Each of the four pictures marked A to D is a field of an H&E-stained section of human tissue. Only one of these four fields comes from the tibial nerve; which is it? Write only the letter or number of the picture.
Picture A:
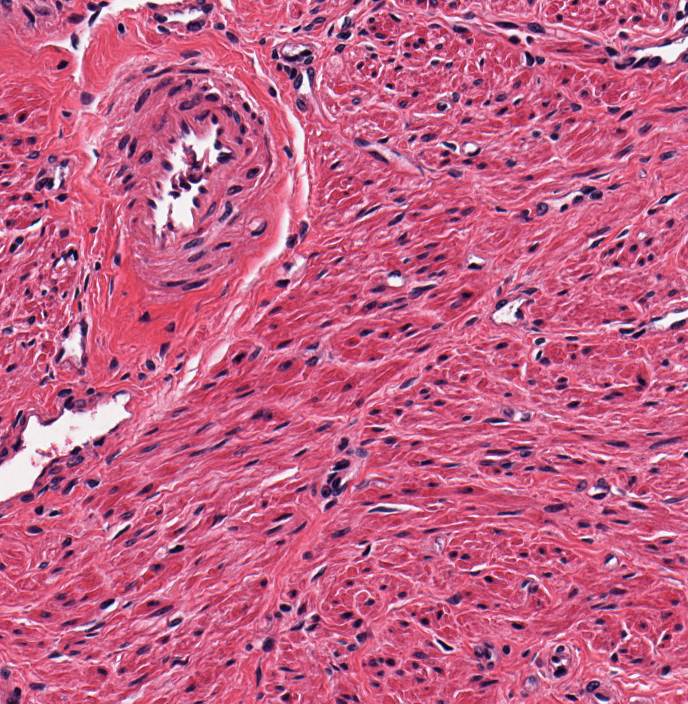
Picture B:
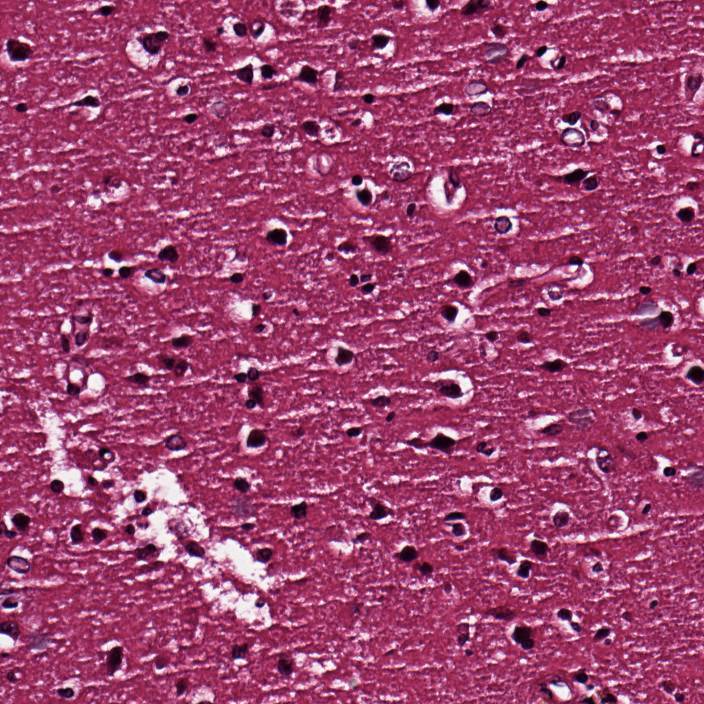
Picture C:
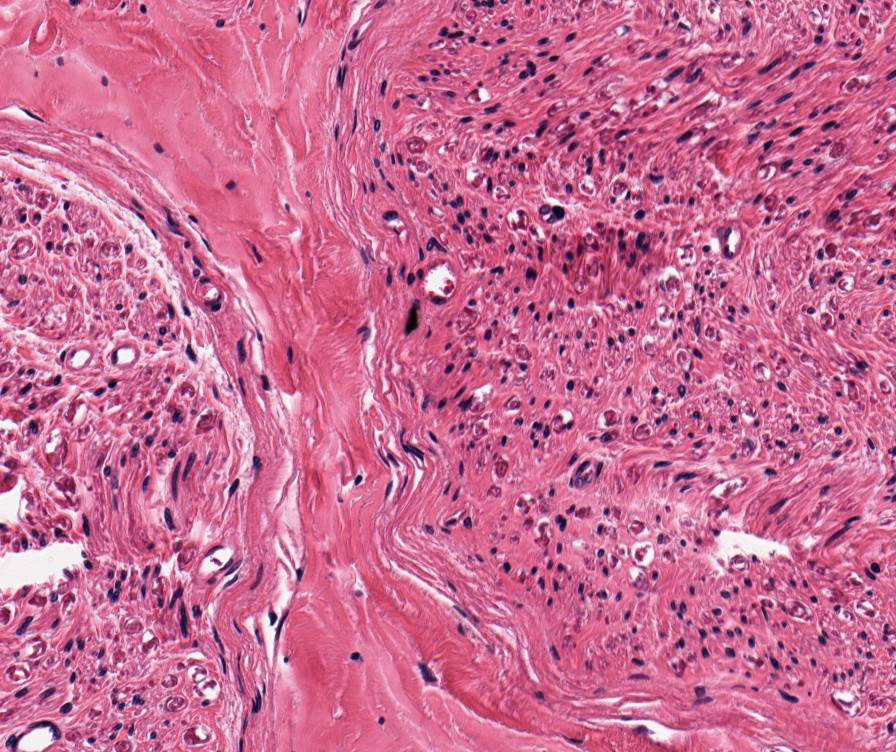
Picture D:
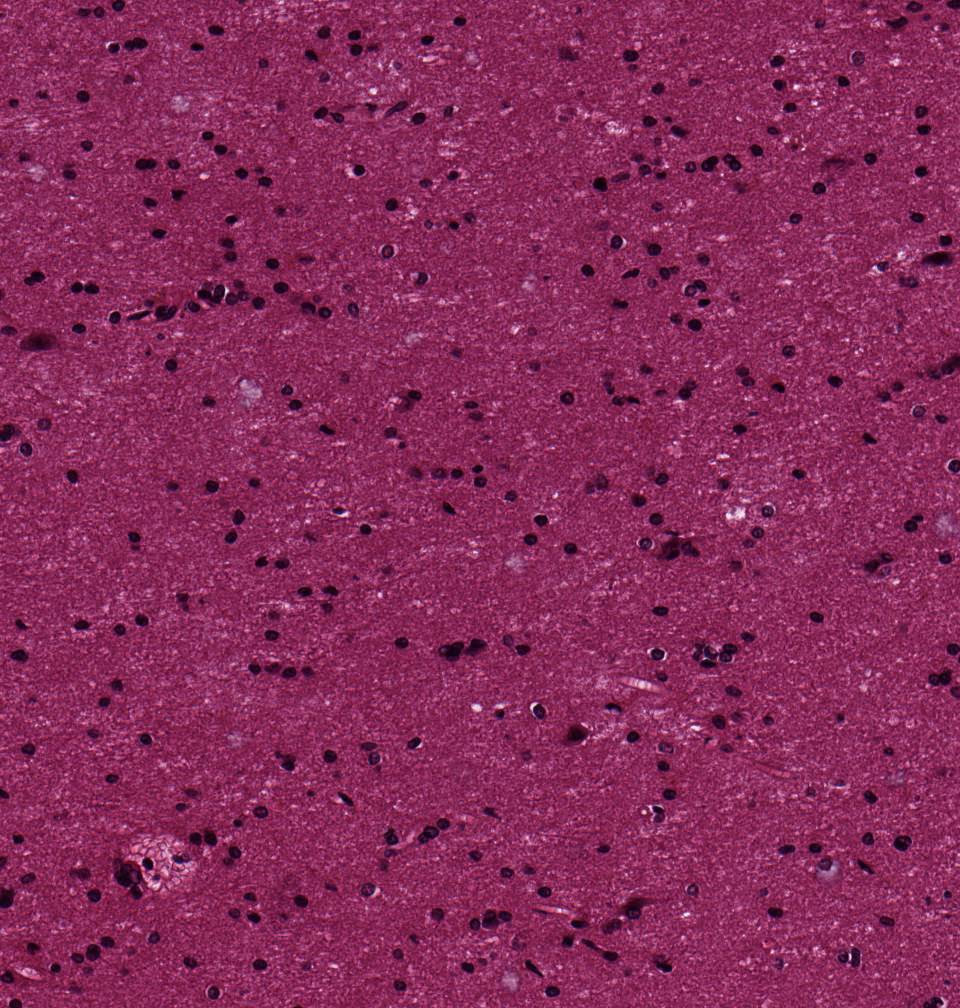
C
